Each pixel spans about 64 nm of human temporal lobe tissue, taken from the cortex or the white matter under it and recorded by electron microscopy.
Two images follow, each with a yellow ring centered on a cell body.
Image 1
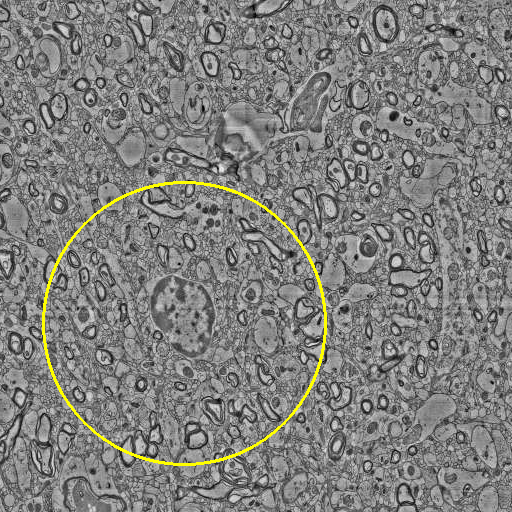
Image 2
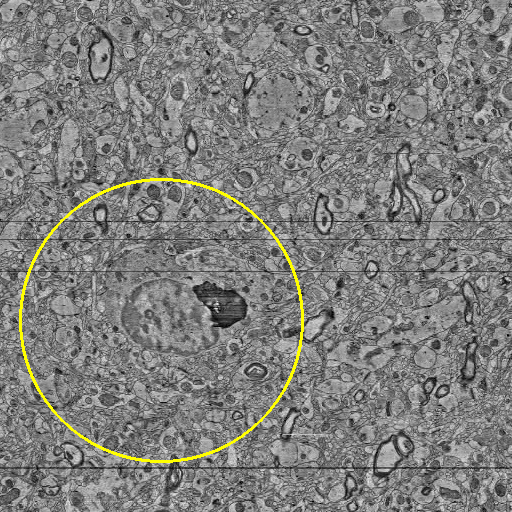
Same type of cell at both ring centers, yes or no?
no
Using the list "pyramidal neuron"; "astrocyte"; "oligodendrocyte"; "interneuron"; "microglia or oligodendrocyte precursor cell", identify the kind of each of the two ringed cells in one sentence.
The first is a microglial cell or oligodendrocyte precursor cell and the second is an oligodendrocyte.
